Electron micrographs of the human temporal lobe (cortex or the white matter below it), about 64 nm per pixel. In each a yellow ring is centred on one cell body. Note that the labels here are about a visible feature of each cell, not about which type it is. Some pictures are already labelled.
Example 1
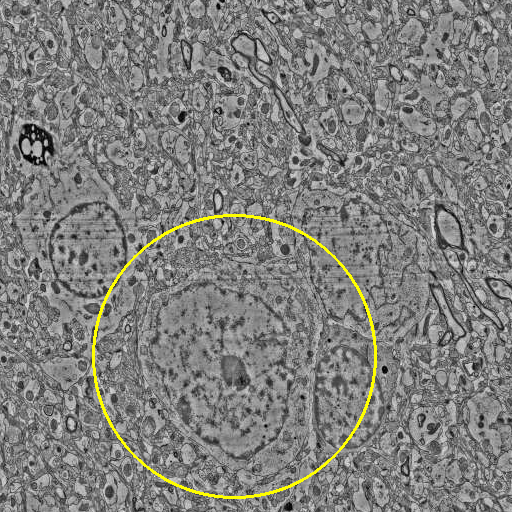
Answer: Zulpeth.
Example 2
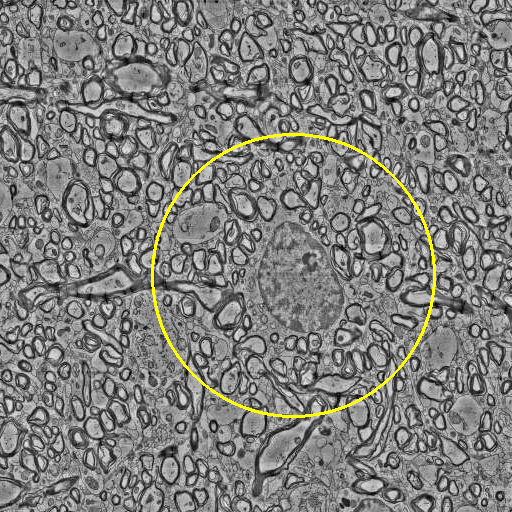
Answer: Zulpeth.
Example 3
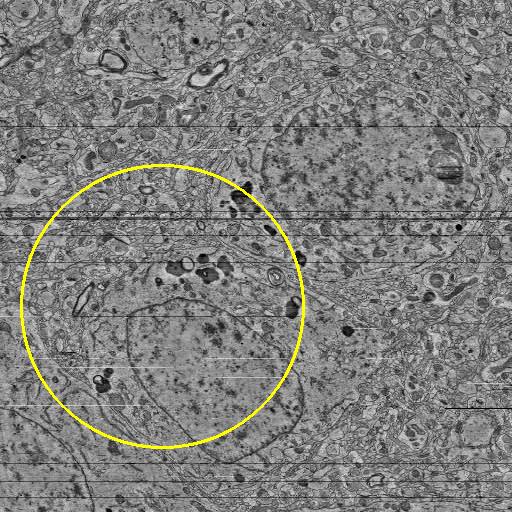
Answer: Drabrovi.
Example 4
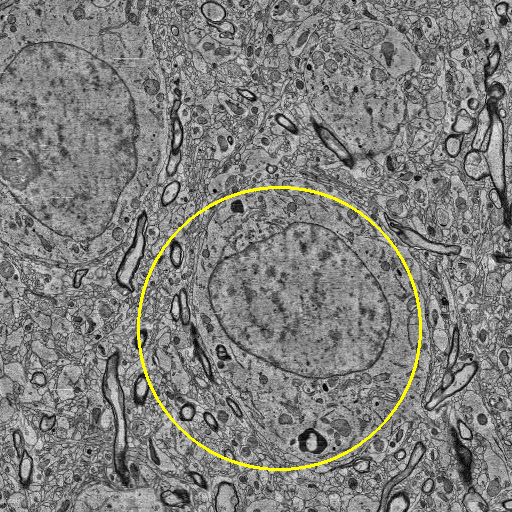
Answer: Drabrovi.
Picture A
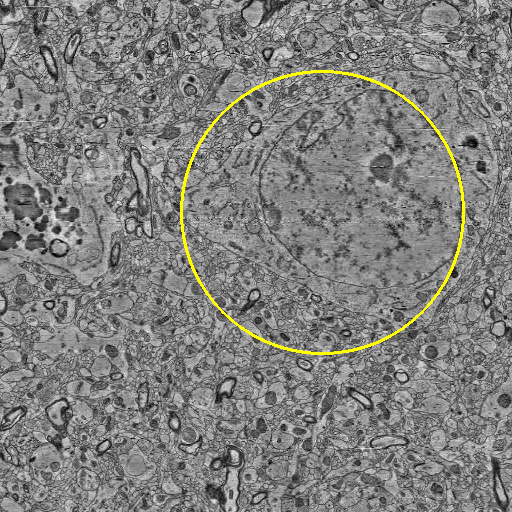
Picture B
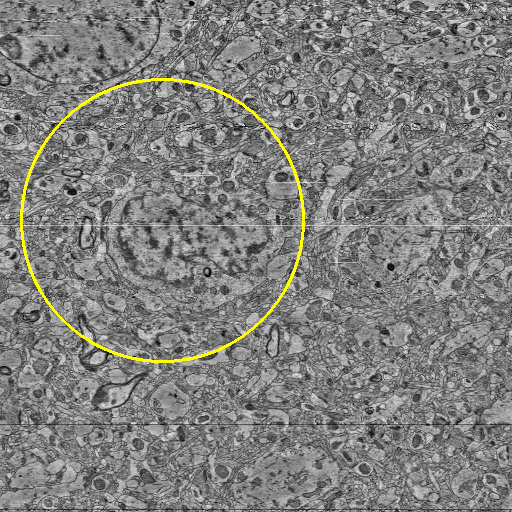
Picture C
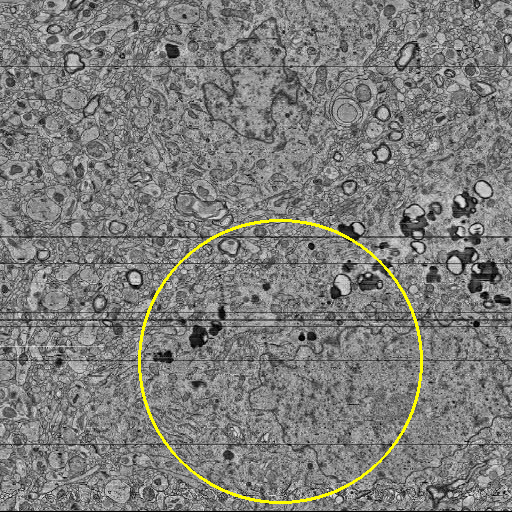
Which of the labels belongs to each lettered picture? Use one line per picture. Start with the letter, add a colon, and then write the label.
A: Zulpeth.
B: Drabrovi.
C: Drabrovi.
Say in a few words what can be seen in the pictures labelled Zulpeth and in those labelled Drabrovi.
Zulpeth, nucleolus seen; Drabrovi, no nucleolus seen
